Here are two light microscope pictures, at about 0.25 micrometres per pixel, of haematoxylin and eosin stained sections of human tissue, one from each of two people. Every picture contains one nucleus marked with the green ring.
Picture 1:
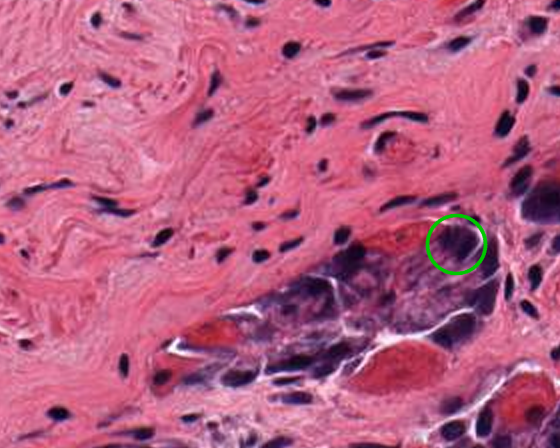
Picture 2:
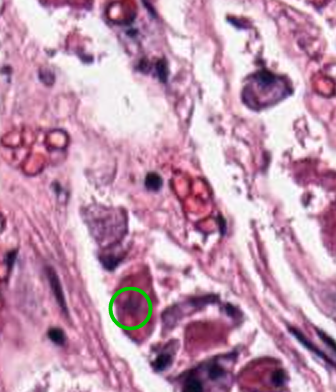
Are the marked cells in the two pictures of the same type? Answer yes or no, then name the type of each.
No, the first is a chief cell and the second a parietal cell.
